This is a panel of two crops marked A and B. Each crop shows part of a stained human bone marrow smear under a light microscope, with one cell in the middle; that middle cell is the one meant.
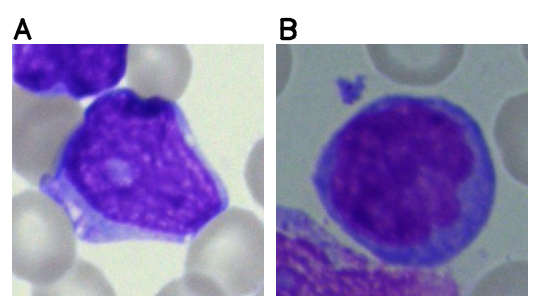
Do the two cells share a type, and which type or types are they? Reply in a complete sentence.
Yes, both crops show blasts, each crop centred on one of them.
